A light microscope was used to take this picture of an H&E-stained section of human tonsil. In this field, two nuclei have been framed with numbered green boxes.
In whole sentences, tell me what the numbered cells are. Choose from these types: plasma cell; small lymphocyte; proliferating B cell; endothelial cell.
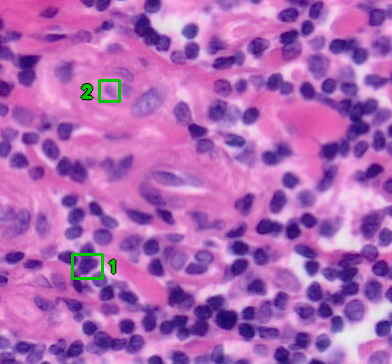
Cell 1 is a small lymphocyte. Cell 2 is an endothelial cell.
